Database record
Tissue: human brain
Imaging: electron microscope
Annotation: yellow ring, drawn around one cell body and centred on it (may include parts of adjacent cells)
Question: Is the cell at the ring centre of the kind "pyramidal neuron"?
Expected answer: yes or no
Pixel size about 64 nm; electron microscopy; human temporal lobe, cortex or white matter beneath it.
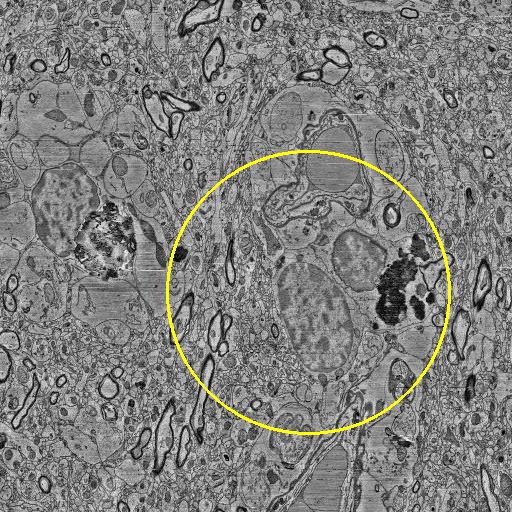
no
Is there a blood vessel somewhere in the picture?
Yes, a vessel appears in the picture.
